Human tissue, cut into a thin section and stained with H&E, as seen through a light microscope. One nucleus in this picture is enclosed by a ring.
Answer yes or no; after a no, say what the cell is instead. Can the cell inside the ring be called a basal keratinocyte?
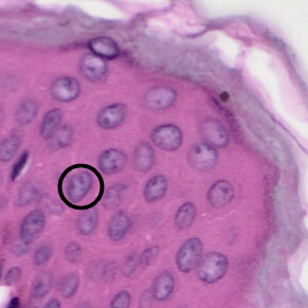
No, it is a suprabasal keratinocyte.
